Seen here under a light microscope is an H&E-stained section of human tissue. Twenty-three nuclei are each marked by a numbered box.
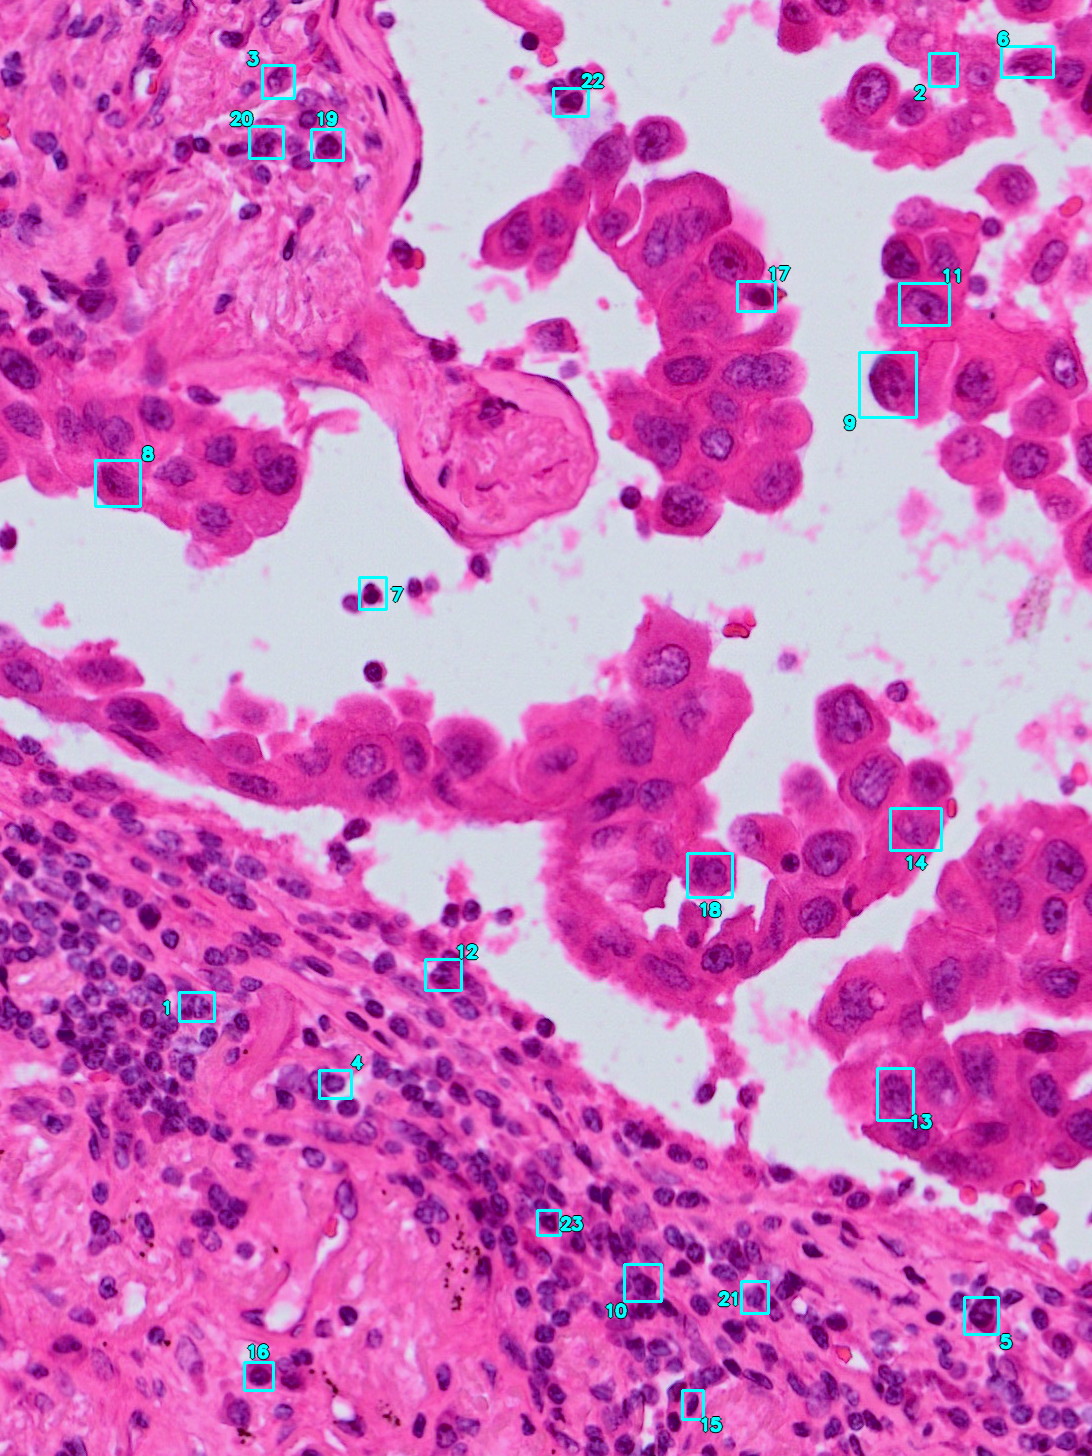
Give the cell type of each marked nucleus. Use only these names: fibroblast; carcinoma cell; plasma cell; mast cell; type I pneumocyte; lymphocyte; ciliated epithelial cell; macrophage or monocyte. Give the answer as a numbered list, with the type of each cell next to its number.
1. lymphocyte
2. macrophage or monocyte
3. plasma cell
4. lymphocyte
5. plasma cell
6. carcinoma cell
7. lymphocyte
8. carcinoma cell
9. carcinoma cell
10. lymphocyte
11. carcinoma cell
12. plasma cell
13. carcinoma cell
14. carcinoma cell
15. lymphocyte
16. plasma cell
17. carcinoma cell
18. carcinoma cell
19. plasma cell
20. plasma cell
21. lymphocyte
22. lymphocyte
23. plasma cell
